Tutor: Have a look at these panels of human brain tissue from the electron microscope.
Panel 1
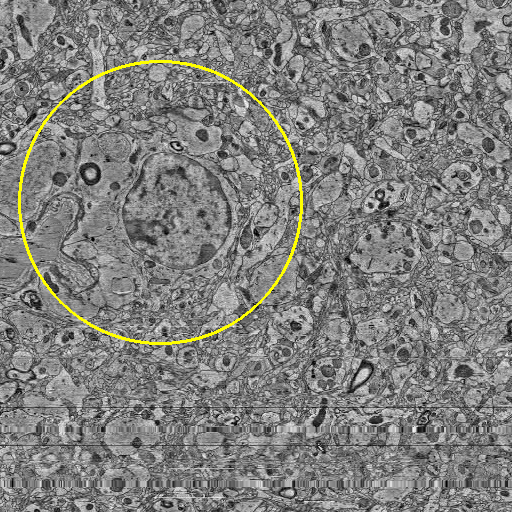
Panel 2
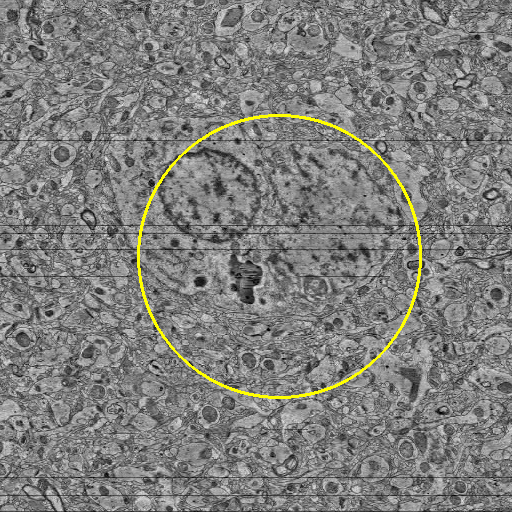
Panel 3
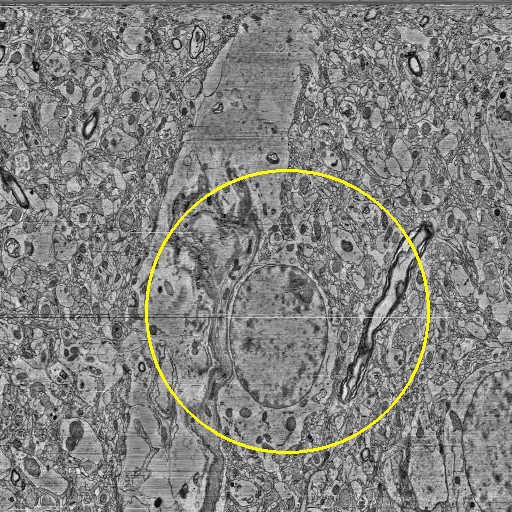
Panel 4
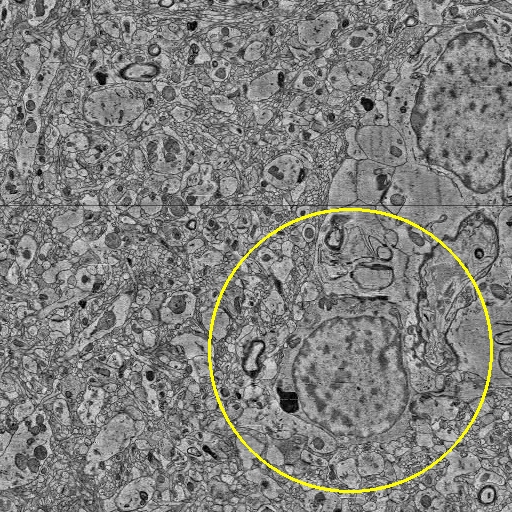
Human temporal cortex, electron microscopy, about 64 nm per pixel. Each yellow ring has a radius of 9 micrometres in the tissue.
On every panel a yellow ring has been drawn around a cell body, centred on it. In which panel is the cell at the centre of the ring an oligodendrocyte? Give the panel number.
4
